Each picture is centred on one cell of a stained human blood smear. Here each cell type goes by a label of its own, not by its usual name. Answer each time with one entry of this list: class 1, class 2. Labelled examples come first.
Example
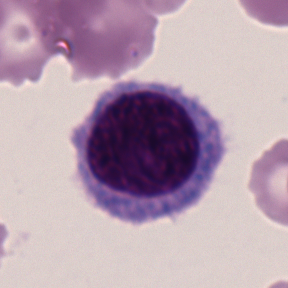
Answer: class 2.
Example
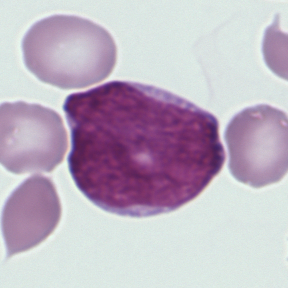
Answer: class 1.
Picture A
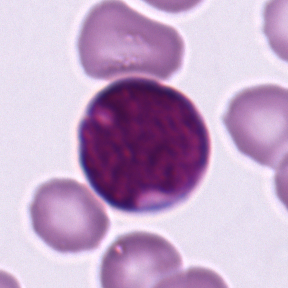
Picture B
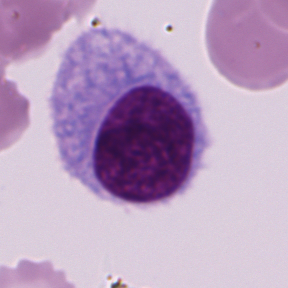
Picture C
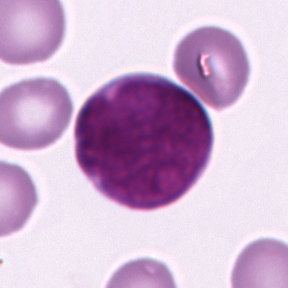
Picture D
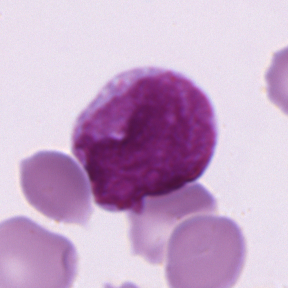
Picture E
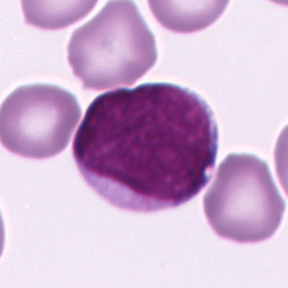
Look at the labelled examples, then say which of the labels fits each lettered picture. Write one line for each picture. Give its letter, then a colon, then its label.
A: class 1.
B: class 2.
C: class 1.
D: class 1.
E: class 1.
